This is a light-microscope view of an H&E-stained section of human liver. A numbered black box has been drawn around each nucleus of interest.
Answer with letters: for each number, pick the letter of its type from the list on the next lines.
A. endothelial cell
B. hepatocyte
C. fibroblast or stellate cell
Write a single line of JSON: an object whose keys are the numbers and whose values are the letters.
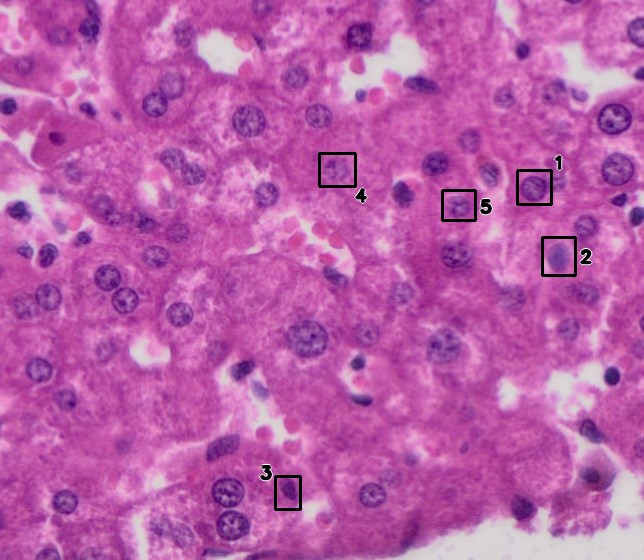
{"1": "B", "2": "A", "3": "C", "4": "B", "5": "B"}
